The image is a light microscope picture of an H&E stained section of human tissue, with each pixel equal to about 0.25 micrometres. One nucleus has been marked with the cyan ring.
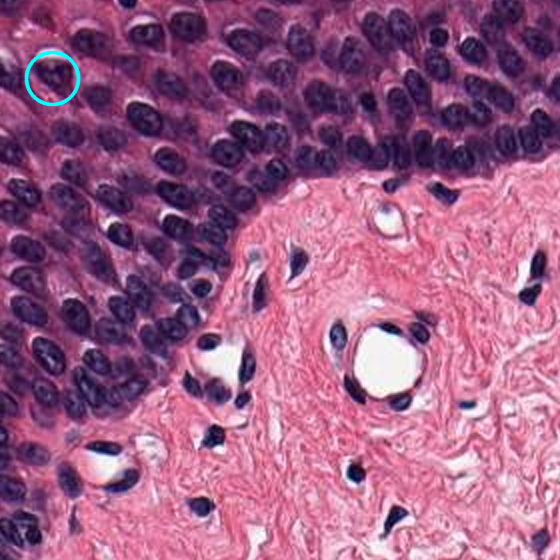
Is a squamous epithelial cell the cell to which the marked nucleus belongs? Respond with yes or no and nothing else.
yes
